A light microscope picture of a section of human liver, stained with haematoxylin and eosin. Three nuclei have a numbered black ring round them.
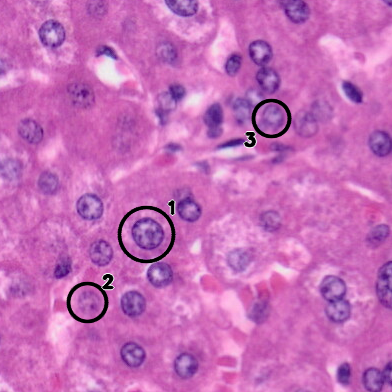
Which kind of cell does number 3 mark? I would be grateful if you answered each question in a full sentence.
Here the cell numbered 3 is a cholangiocyte.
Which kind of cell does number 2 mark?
The one labeled 2 is a hepatocyte, to put it simply.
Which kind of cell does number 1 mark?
Of the numbered cells, the one labelled 1 is a hepatocyte.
